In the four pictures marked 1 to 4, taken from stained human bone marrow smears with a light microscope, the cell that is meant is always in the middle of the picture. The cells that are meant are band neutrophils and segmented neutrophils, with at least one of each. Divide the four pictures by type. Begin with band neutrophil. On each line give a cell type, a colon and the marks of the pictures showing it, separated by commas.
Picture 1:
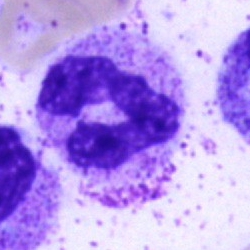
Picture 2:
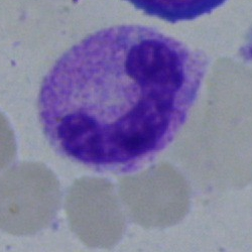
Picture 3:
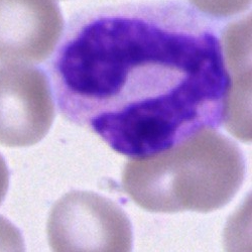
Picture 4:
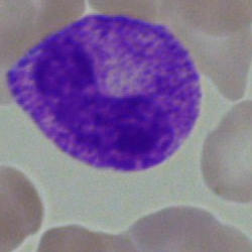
band neutrophil: 2, 3, 4
segmented neutrophil: 1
